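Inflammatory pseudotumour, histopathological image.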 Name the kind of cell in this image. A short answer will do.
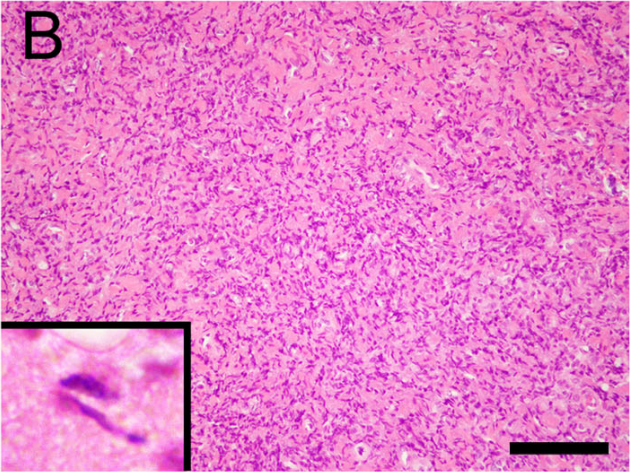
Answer: spindle-shaped cells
